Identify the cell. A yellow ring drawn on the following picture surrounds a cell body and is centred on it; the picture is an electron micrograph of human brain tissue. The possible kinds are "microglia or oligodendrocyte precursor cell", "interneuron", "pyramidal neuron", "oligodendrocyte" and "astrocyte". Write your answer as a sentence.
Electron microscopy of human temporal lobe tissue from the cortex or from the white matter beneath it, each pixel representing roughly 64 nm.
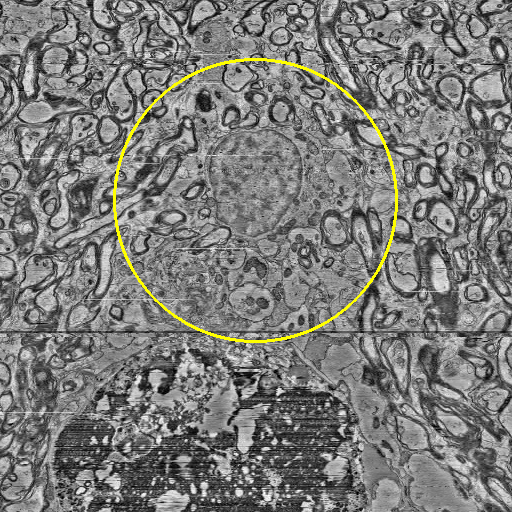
The cell identified by the ring is an oligodendrocyte.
